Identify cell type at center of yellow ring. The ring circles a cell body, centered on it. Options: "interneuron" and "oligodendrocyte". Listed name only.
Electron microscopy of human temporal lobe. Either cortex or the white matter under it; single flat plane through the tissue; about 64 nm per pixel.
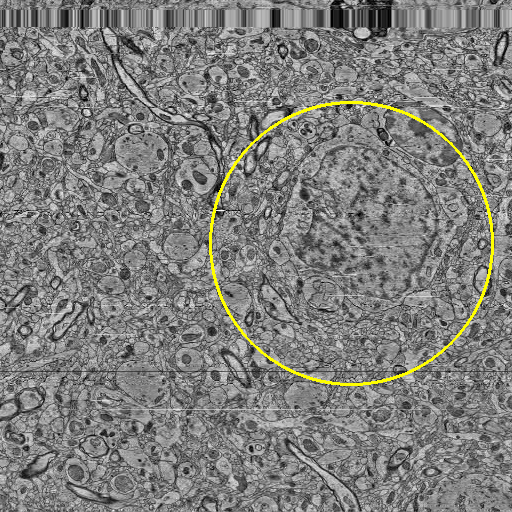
interneuron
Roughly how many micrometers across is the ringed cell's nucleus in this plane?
The ringed cell's nucleus measures approximately 11 by 9 micrometres in this plane.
